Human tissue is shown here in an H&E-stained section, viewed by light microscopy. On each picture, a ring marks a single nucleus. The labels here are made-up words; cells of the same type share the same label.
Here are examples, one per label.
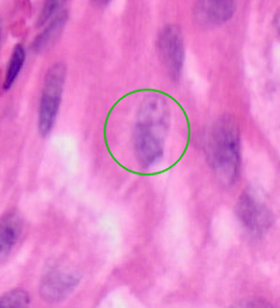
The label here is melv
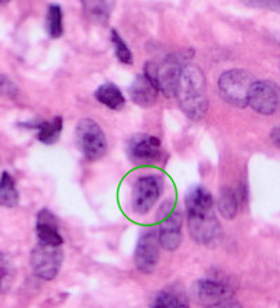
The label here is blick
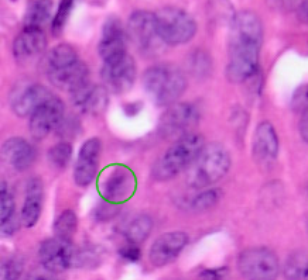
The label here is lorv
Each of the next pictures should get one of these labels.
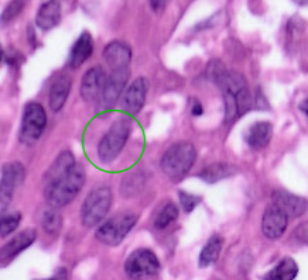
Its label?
lorv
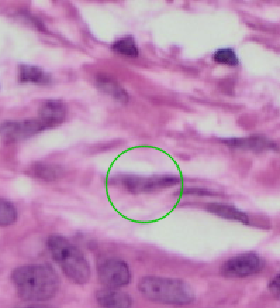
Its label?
melv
